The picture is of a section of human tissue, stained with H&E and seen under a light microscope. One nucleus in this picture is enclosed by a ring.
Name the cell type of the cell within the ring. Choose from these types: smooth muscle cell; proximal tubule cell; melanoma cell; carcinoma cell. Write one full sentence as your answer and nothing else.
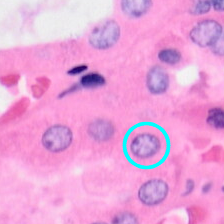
Cell type answer for this item: the cell within the ring is a proximal tubule cell.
